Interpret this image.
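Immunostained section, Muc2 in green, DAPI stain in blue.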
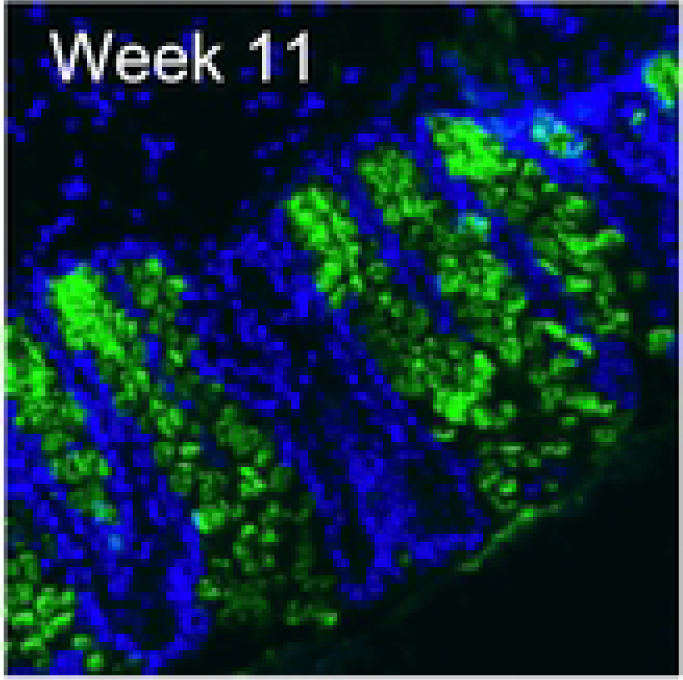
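Intestinal crypts are cut lengthwise and lie side by side, each lined by epithelium with blue nuclei. Many goblet cells fill the crypts, their large rounded green mucus-filled bodies packed densely along much of each crypt's length between the blue nuclei.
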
